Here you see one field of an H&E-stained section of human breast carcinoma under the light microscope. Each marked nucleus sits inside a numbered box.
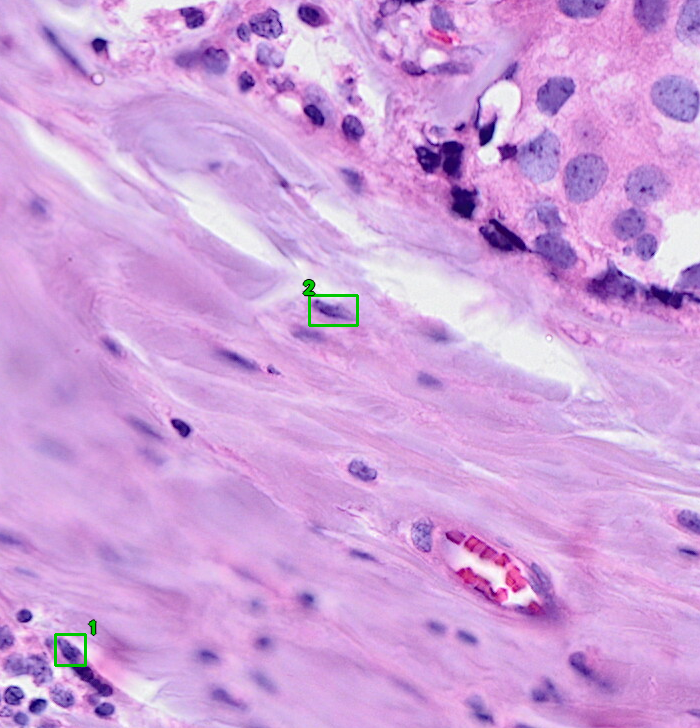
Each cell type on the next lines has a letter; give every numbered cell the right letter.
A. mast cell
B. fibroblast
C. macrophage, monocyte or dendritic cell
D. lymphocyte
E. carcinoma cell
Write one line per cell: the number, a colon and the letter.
1: D
2: B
